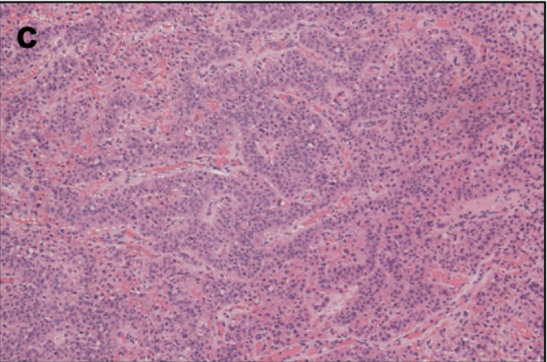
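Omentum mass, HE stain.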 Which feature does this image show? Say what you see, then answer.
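Tumor cells form anastomosing cords and ribbons. Thin fibrovascular septa separate the cords. The answer: Trabecular or ribbon growth.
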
